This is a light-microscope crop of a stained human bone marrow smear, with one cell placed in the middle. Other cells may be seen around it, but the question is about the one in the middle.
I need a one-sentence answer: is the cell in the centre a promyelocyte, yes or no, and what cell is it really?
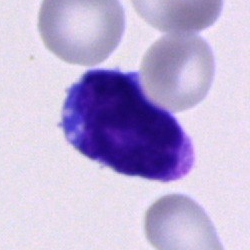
No, the identification should read a blast, not a promyelocyte, for the central cell.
